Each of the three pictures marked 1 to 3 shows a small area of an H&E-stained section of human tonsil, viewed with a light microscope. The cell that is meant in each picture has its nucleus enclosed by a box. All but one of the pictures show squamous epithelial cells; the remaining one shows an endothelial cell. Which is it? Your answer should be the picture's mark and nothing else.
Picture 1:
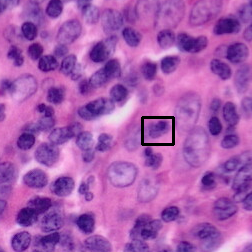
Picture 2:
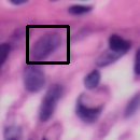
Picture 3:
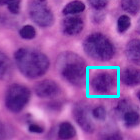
1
